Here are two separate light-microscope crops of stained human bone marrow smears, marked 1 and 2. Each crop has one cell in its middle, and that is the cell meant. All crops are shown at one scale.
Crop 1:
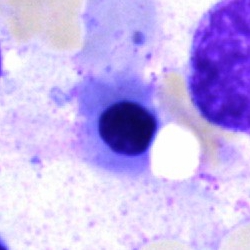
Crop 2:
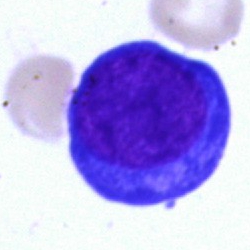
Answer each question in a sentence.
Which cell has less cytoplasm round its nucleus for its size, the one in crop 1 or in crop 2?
It is the cell in crop 2 that is filled more by its nucleus.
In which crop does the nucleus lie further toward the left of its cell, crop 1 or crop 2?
It is the nucleus in crop 2 that lies further toward the left of its cell.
